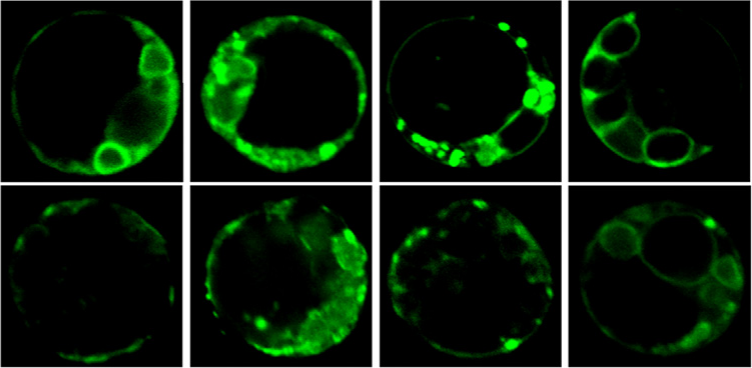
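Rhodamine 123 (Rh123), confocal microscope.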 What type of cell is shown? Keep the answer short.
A: Protoplasts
